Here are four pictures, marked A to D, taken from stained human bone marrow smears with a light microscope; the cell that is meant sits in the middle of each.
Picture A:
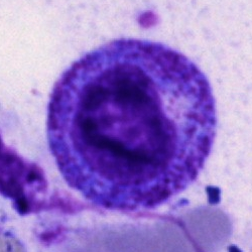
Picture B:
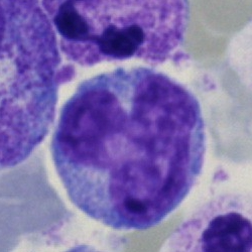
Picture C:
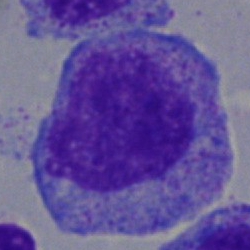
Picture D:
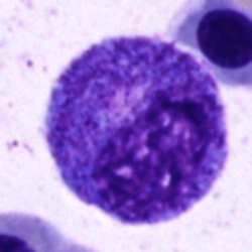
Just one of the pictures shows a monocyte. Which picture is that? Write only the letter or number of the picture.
B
